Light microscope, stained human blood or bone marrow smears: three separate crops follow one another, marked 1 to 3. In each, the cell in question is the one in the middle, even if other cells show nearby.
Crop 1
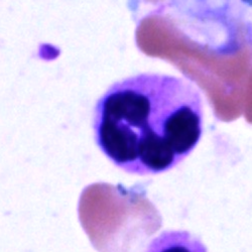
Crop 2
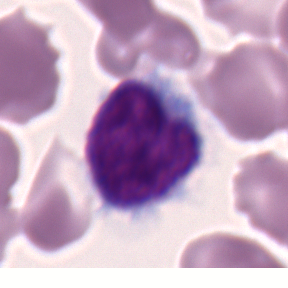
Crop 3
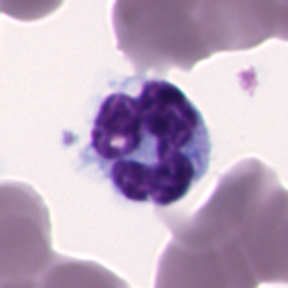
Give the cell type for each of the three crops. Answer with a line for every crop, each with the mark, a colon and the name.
1: neutrophil
2: hairy cell
3: monocyte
